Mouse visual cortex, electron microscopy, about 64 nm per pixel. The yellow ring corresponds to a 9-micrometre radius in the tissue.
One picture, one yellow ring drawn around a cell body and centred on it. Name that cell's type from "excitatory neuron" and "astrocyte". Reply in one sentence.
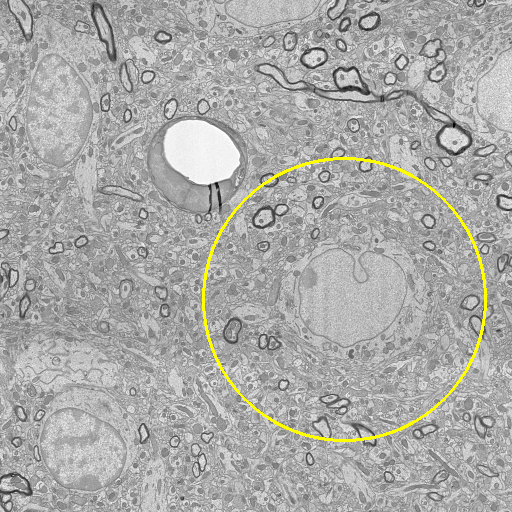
Centred in the ring is an excitatory neuron.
